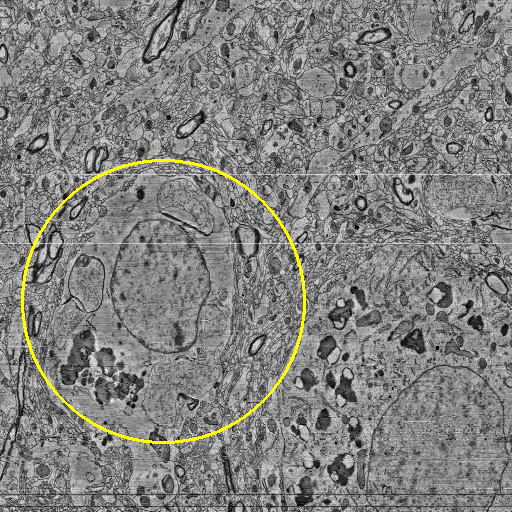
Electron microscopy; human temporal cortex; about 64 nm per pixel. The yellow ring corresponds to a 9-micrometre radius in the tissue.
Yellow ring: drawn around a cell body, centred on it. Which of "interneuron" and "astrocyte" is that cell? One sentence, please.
That cell body is from an astrocyte.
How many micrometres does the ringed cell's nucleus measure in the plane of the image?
Roughly 9 by 7 micrometres in this plane, for the nucleus of the ringed cell.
